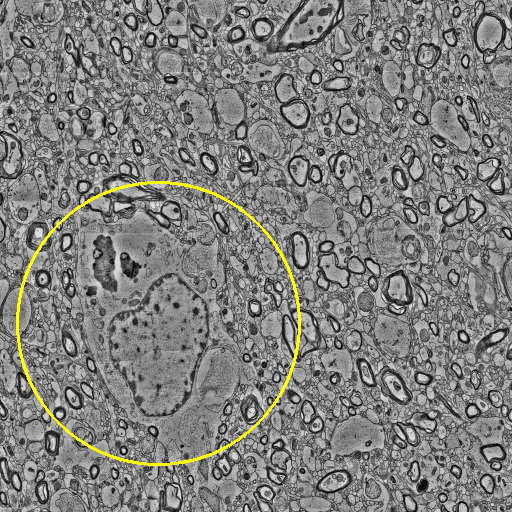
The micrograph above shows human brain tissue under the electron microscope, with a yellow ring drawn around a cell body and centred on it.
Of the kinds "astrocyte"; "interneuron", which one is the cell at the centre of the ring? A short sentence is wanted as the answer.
The one at the centre of the ring is an astrocyte.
